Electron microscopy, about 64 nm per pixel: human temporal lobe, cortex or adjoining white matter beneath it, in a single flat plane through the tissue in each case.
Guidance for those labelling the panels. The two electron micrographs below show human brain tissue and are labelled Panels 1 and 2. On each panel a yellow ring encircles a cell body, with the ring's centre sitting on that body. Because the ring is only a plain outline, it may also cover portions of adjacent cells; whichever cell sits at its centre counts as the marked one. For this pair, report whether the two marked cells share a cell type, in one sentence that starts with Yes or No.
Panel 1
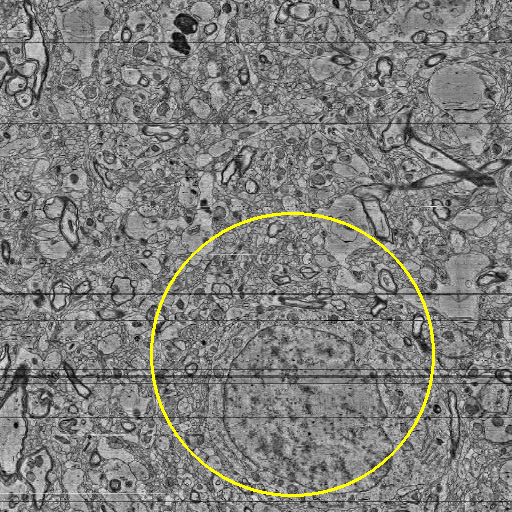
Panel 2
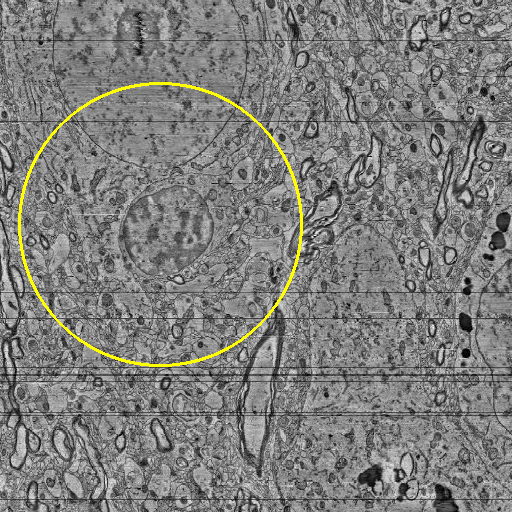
No, in Panel 1 and Panel 2 the marked cells at the ring centres are of two types.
